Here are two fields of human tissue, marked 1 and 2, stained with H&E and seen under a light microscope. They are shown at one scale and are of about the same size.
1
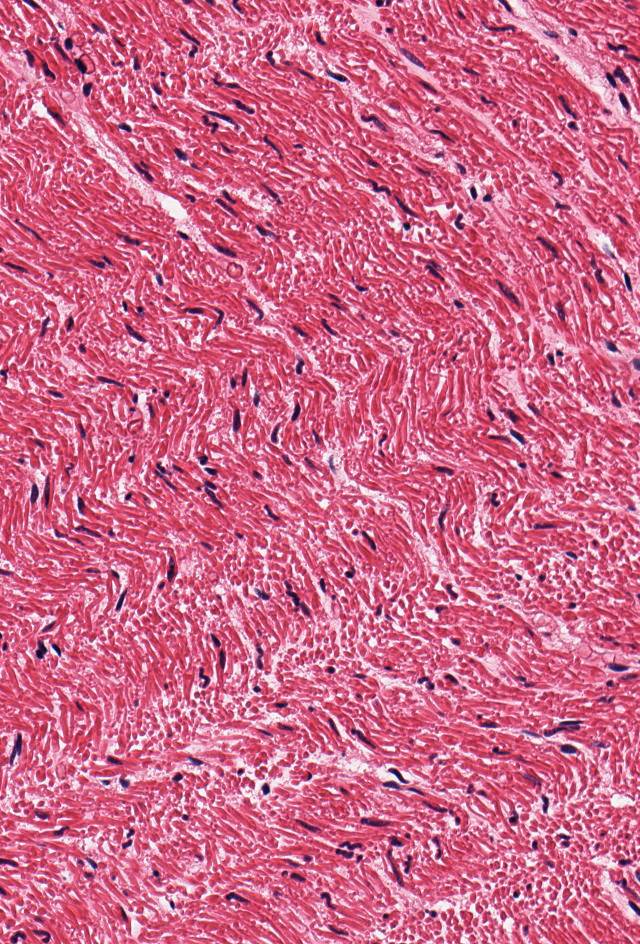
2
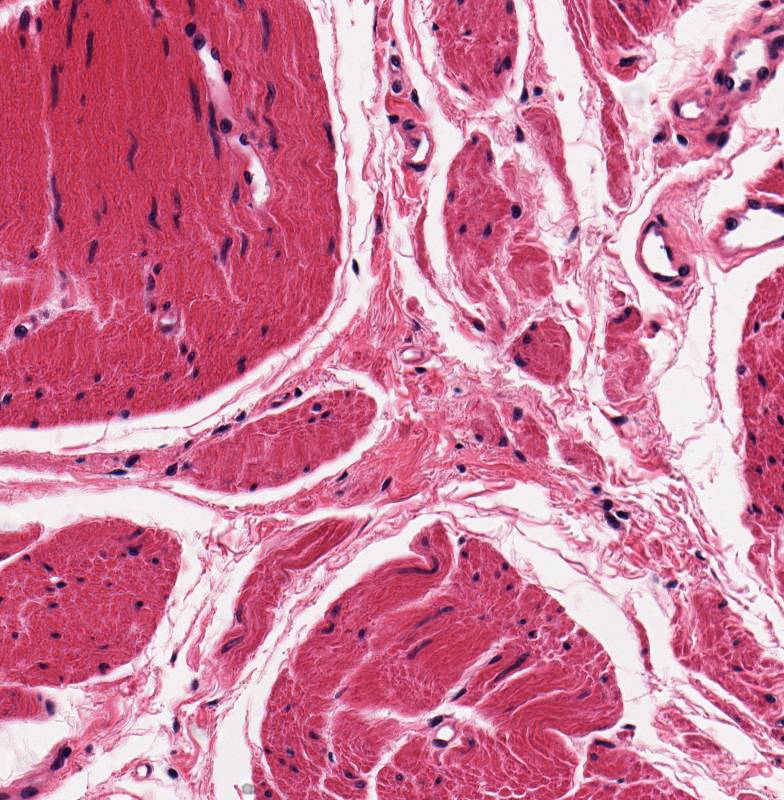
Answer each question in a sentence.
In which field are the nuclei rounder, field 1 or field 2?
Rounder nuclei lie in field 2.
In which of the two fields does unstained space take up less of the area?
Unstained space takes up less of field 1 than of field 2.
